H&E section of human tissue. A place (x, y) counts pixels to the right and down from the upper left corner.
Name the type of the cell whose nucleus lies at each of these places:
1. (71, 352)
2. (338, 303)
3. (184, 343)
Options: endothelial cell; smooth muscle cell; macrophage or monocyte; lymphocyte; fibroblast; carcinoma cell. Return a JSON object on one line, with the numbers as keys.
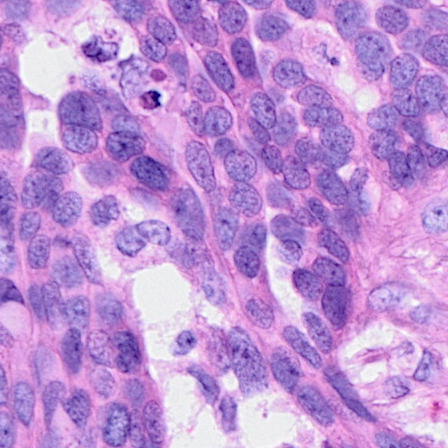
{"1": "carcinoma cell", "2": "carcinoma cell", "3": "macrophage or monocyte"}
